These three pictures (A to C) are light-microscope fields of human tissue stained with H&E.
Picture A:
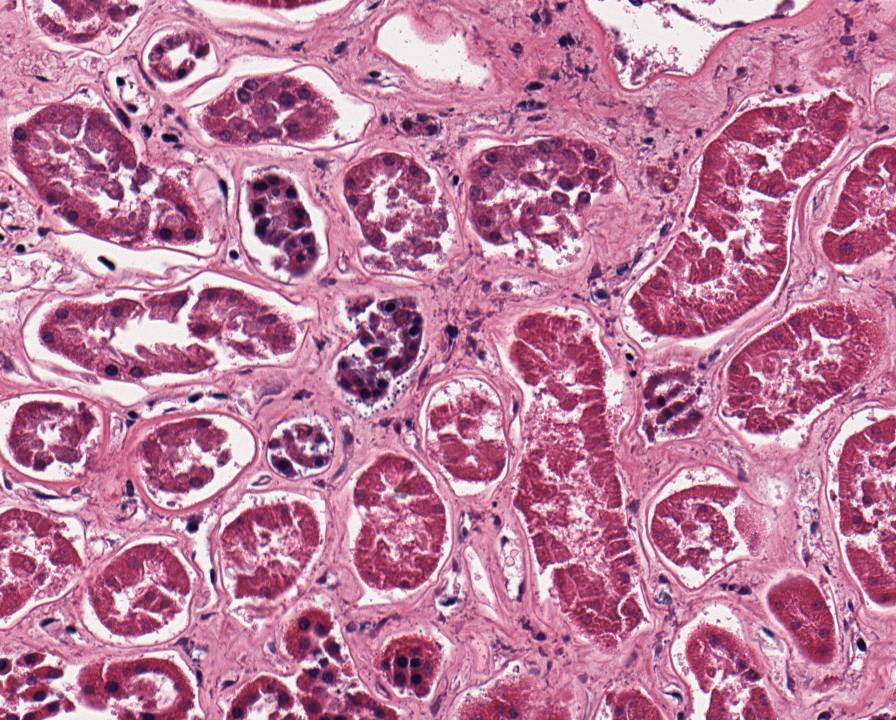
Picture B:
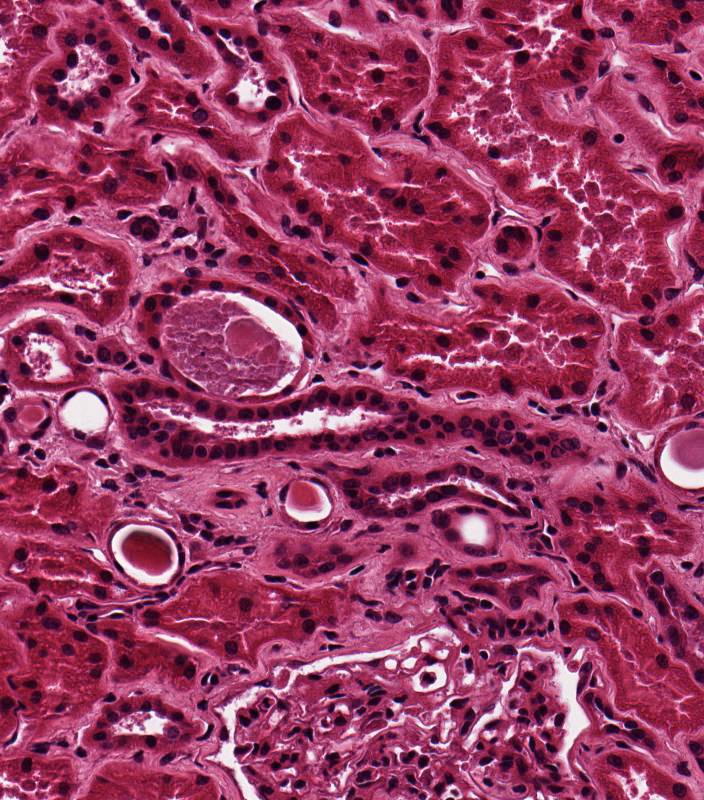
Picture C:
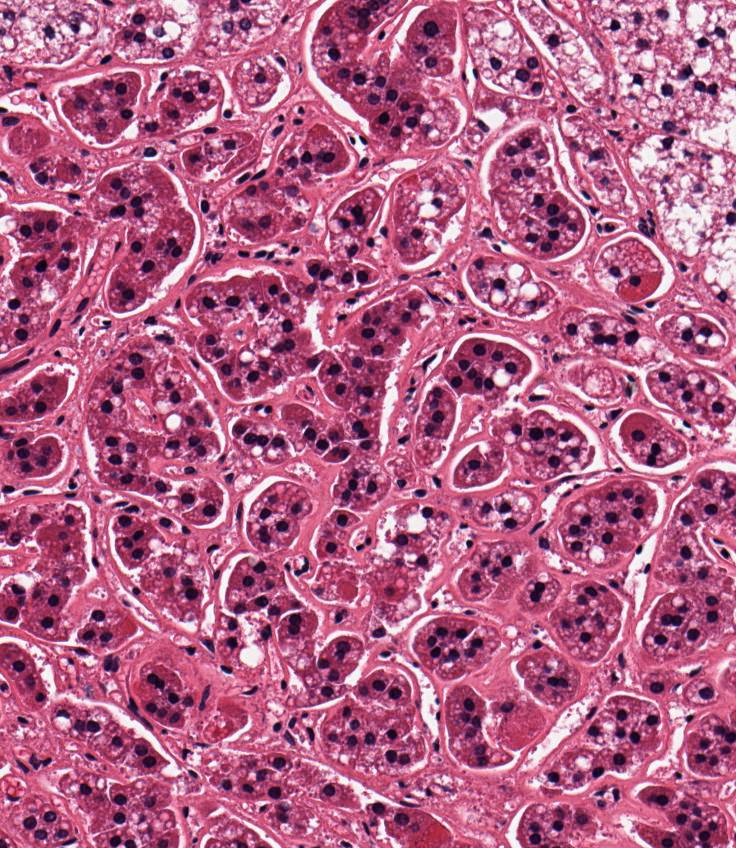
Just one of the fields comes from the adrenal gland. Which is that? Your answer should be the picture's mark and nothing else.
C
